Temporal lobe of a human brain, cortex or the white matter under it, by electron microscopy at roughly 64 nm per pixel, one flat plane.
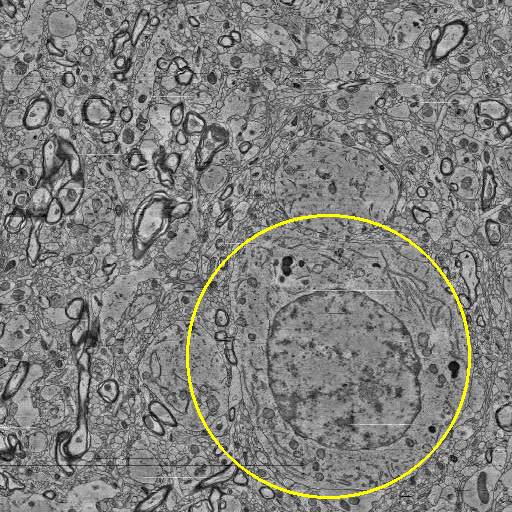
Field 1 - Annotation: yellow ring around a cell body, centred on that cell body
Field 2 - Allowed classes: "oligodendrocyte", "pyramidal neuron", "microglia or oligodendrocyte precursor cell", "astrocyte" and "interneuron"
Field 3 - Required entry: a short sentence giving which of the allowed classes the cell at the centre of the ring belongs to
The centred cell is an interneuron.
